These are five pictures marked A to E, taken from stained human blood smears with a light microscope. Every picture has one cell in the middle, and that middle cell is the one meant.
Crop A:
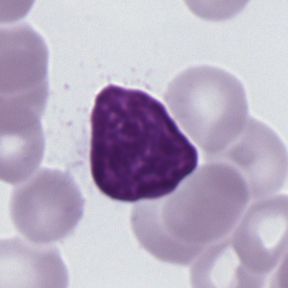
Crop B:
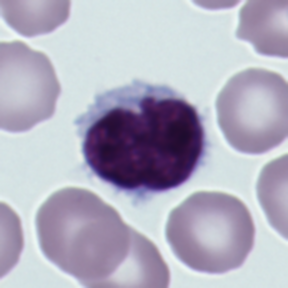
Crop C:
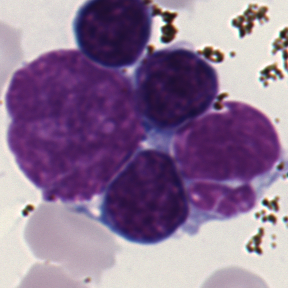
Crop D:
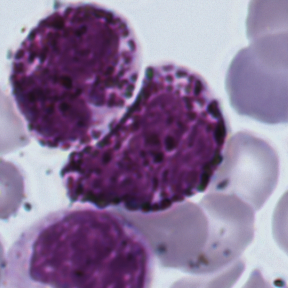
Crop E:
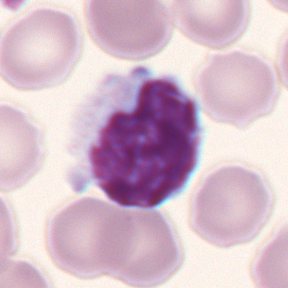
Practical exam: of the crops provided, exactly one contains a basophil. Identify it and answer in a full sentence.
As for which crop shows a basophil, it is crop D.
